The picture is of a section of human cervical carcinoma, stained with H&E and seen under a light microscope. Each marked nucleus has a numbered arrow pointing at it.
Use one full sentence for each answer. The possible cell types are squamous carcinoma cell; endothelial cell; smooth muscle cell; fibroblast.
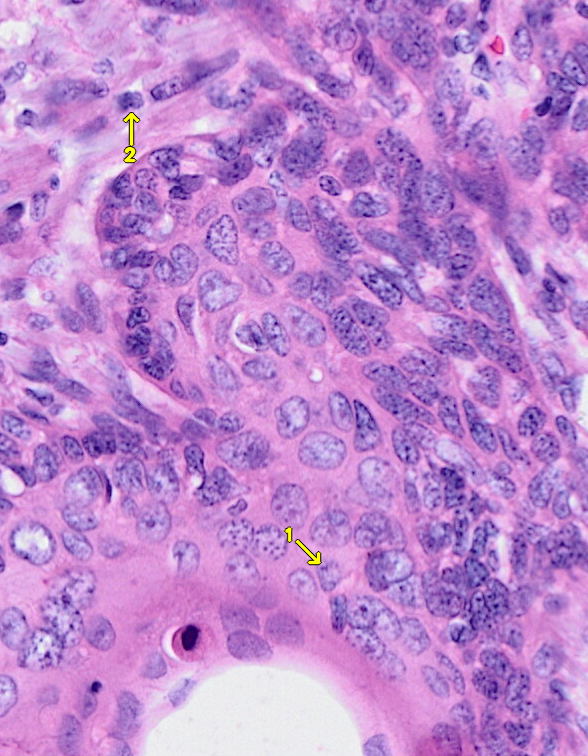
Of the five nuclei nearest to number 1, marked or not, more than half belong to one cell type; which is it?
Squamous carcinoma cells account for more than half of the five nuclei nearest to number 1.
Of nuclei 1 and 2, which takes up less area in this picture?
Number 2 is smaller, since number 1 takes up about 1.5 times as much area.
